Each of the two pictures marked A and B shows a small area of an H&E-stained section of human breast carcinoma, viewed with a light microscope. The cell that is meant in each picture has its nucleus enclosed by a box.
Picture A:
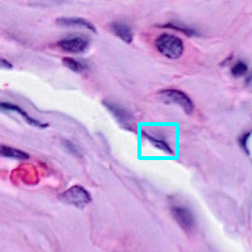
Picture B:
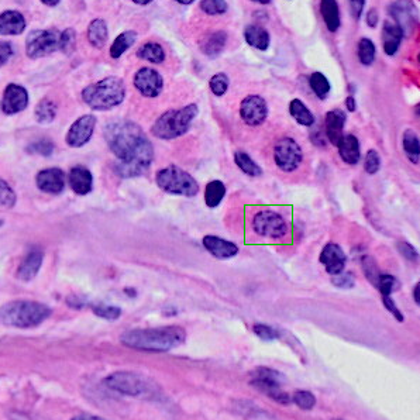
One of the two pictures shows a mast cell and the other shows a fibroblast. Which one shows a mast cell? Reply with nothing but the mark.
B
